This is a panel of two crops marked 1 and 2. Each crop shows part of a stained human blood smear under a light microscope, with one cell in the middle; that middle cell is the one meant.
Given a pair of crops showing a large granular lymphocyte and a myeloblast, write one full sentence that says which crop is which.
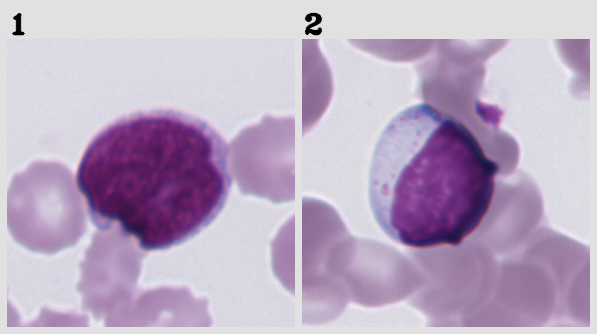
The cell centred in crop 1 is a myeloblast, and the one centred in crop 2 is a large granular lymphocyte.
